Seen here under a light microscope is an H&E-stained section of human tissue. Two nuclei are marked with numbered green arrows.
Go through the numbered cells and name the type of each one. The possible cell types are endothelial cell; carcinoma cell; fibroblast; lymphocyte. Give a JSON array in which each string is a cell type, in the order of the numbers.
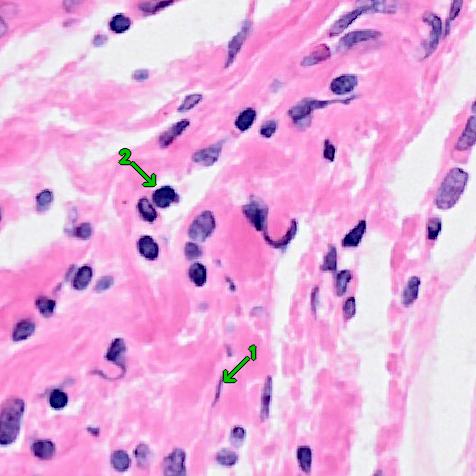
["fibroblast", "lymphocyte"]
